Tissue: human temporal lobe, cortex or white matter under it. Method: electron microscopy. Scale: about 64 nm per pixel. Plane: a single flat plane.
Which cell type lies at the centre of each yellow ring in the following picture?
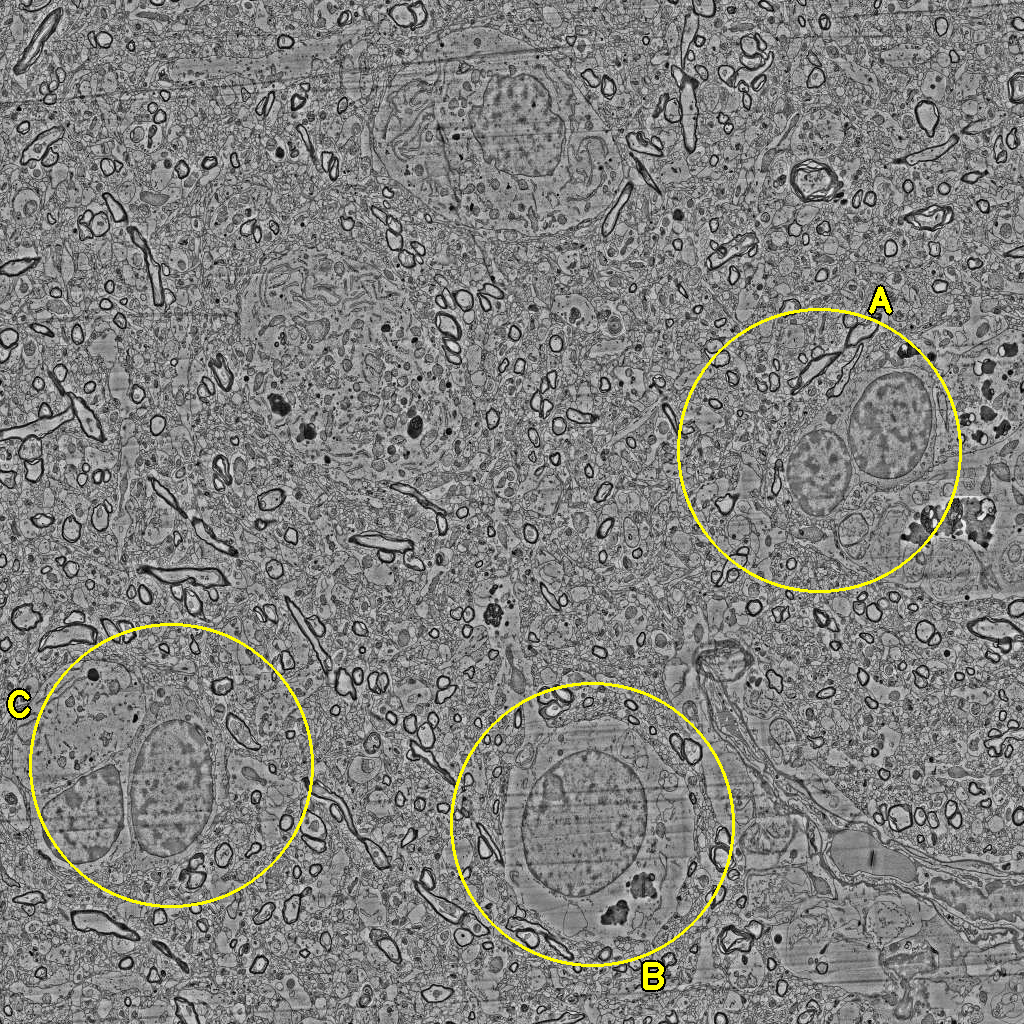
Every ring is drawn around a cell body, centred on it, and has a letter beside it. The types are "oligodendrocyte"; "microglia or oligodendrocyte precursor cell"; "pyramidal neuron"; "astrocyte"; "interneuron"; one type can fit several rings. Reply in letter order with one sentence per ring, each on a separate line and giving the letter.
Ring A marks the cell body of an oligodendrocyte.
Ring B marks the cell body of an astrocyte.
Ring C marks the cell body of an oligodendrocyte.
